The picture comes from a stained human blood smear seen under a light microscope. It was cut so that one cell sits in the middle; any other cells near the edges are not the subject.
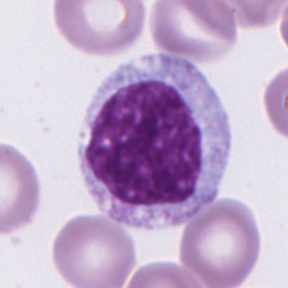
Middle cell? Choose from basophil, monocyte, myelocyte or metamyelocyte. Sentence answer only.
In this crop, the cell at the very middle is a myelocyte.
